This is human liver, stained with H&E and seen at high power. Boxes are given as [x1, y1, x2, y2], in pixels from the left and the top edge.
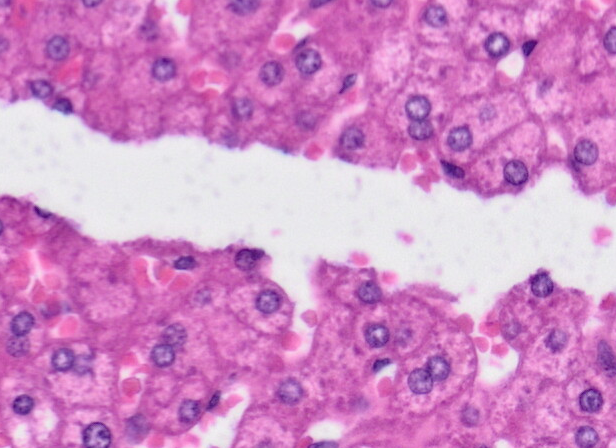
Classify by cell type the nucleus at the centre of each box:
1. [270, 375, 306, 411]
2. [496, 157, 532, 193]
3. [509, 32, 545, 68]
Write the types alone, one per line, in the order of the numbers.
hepatocyte
hepatocyte
fibroblast or stellate cell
